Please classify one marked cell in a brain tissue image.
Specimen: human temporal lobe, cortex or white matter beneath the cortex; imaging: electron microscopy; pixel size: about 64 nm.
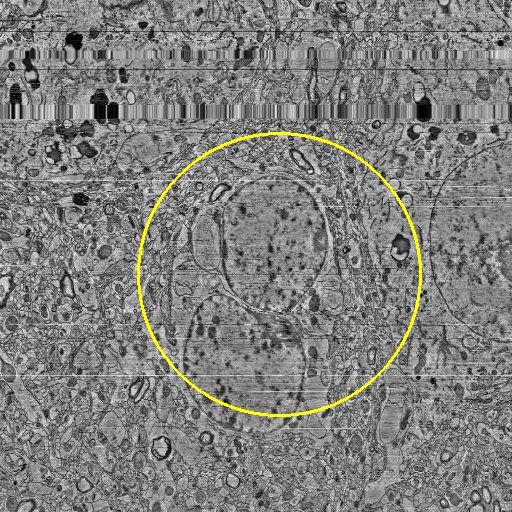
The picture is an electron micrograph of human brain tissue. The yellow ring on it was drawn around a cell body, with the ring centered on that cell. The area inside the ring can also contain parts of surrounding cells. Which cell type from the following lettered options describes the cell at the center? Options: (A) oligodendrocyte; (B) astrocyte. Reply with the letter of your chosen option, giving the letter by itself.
B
